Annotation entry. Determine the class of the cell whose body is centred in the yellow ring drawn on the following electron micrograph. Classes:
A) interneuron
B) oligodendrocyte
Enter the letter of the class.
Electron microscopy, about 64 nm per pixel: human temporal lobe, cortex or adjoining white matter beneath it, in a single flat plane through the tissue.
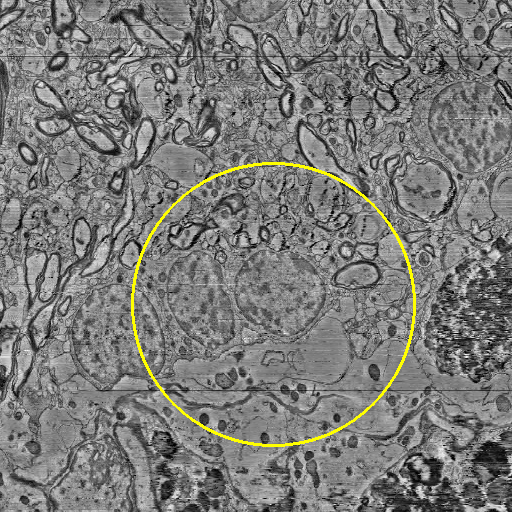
B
